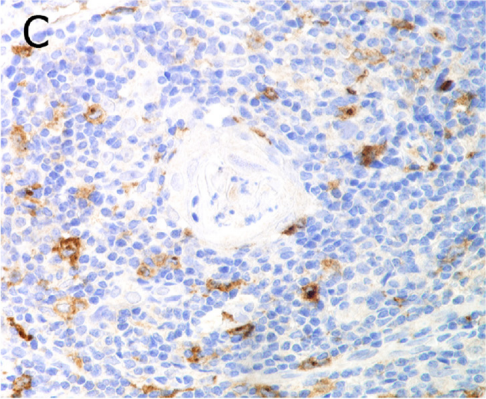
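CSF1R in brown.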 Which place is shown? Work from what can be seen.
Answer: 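Medulla of the thymus. A pale, concentrically layered round structure lies in the centre.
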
